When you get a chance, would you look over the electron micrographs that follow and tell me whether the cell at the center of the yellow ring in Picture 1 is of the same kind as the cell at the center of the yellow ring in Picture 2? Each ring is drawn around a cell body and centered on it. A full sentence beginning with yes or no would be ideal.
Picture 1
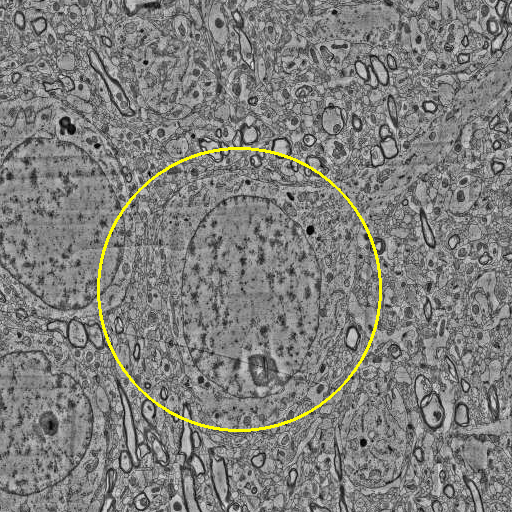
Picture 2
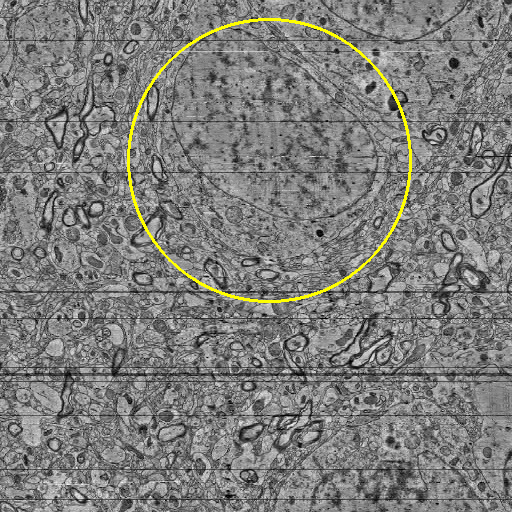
Yes, the two cells are of the same kind.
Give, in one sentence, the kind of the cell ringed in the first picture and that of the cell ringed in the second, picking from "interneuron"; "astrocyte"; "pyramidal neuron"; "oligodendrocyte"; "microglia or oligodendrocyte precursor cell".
In both pictures the ring is centred on a pyramidal neuron.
